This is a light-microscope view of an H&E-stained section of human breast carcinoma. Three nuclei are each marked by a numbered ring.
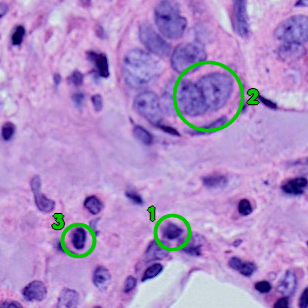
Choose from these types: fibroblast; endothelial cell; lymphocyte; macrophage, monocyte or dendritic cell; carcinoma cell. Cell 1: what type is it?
lymphocyte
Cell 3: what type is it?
lymphocyte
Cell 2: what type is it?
carcinoma cell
